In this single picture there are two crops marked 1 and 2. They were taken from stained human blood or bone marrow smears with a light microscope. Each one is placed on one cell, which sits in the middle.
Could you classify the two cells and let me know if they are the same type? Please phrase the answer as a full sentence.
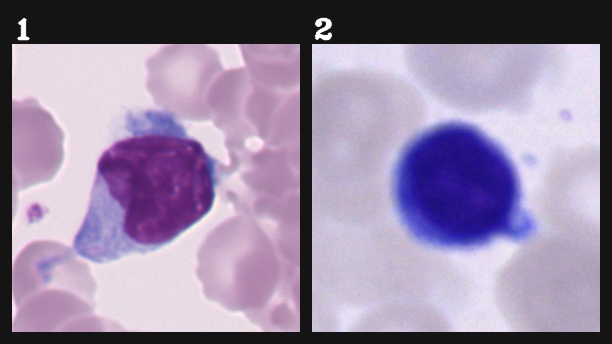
Yes, the cells that both crops show at the centre are lymphocytes.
